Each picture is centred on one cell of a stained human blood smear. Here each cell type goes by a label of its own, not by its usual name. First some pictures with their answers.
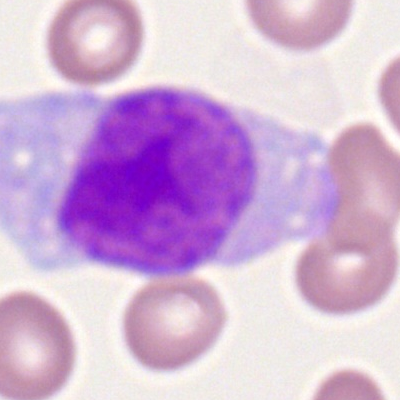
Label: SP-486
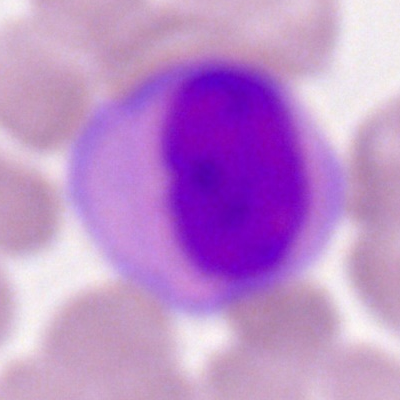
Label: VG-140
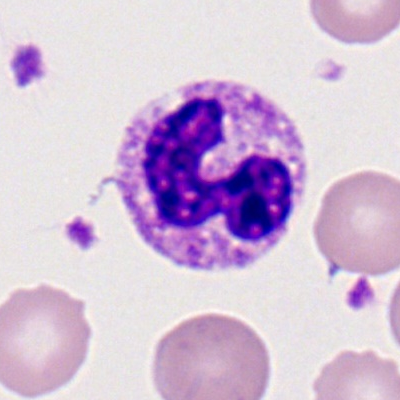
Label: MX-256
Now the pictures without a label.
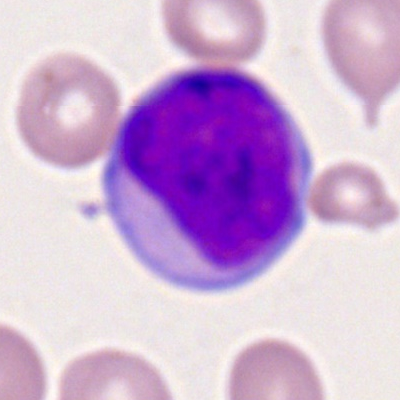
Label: VG-140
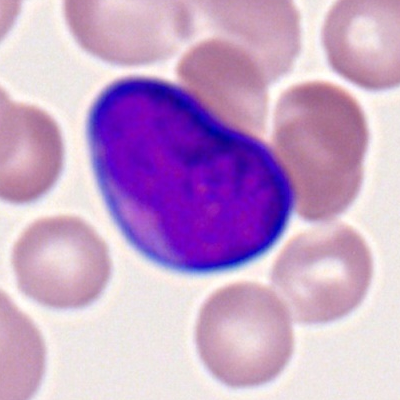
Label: VG-140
